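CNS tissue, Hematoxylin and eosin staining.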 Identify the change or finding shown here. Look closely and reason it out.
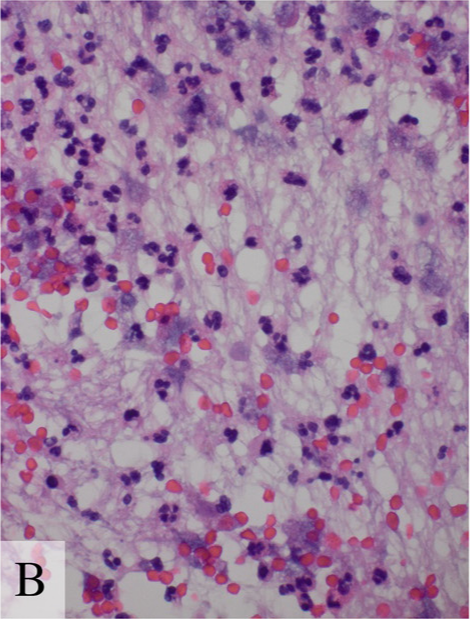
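Many cells have dark, segmented, multilobed nuclei. These cells are scattered densely among red blood cells. The background is a pale, loose, vacuolated meshwork.
Neutrophilic infiltrates.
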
